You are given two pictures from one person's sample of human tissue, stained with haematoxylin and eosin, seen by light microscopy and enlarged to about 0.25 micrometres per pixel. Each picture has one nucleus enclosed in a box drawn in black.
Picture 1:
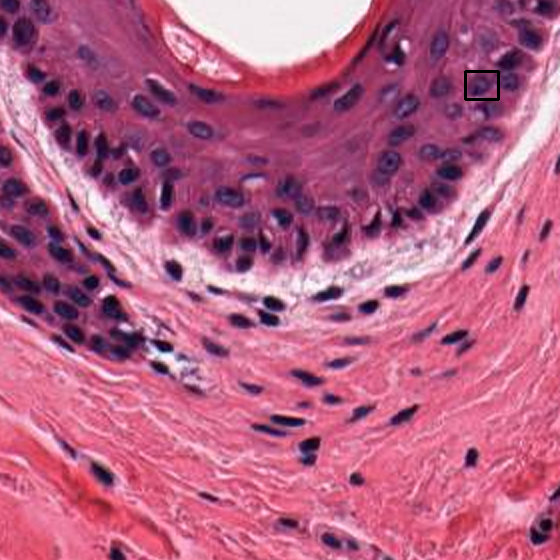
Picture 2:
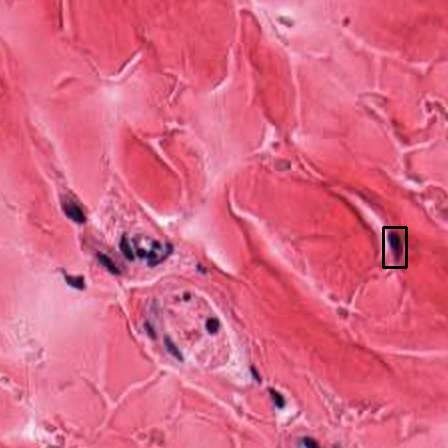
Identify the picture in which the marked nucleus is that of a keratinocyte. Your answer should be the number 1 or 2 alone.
1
